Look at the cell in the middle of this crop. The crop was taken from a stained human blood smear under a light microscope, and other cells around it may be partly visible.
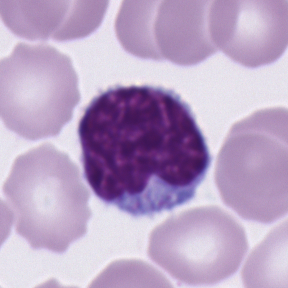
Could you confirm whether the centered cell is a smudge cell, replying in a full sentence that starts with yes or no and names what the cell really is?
No, the central cell is not to be called a smudge cell, being a typical lymphocyte.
